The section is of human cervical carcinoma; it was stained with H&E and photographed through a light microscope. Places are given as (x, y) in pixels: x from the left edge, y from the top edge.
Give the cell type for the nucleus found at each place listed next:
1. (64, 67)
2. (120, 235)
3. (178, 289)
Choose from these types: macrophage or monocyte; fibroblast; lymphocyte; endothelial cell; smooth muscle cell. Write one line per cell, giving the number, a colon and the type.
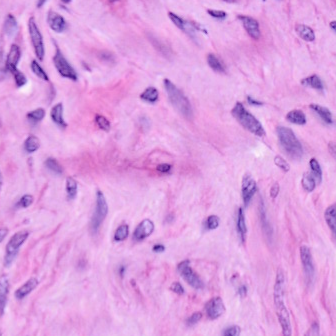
1: fibroblast
2: smooth muscle cell
3: smooth muscle cell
